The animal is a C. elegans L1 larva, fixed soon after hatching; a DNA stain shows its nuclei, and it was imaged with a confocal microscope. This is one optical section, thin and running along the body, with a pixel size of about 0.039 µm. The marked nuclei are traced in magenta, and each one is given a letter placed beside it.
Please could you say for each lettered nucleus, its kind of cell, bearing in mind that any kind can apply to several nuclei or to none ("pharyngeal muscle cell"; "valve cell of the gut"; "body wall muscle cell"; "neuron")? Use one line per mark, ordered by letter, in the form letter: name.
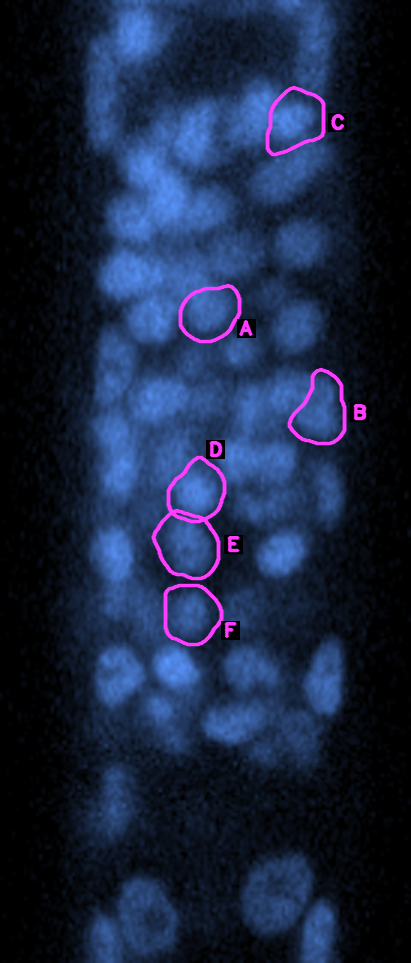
A: neuron
B: body wall muscle cell
C: neuron
D: neuron
E: pharyngeal muscle cell
F: pharyngeal muscle cell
